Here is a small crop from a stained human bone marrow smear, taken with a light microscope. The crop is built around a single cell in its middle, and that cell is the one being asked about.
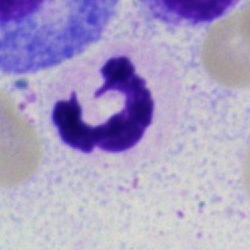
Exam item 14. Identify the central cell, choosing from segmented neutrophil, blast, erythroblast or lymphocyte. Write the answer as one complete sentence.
The cell at the heart of this crop is a segmented neutrophil.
